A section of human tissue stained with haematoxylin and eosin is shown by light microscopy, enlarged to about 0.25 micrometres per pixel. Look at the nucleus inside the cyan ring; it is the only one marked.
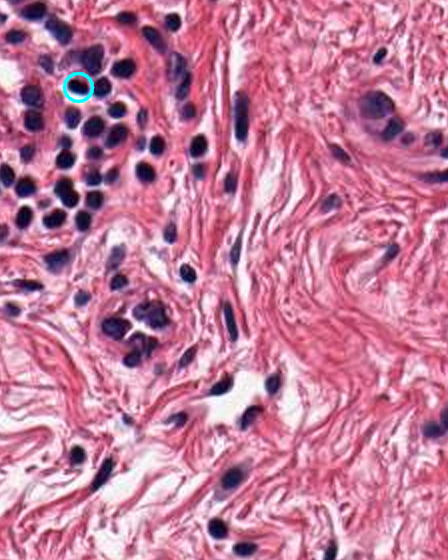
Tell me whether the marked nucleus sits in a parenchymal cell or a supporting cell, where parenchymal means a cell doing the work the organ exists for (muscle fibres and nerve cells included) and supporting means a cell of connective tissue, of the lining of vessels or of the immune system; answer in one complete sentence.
Housed within a supporting cell is the marked nucleus.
